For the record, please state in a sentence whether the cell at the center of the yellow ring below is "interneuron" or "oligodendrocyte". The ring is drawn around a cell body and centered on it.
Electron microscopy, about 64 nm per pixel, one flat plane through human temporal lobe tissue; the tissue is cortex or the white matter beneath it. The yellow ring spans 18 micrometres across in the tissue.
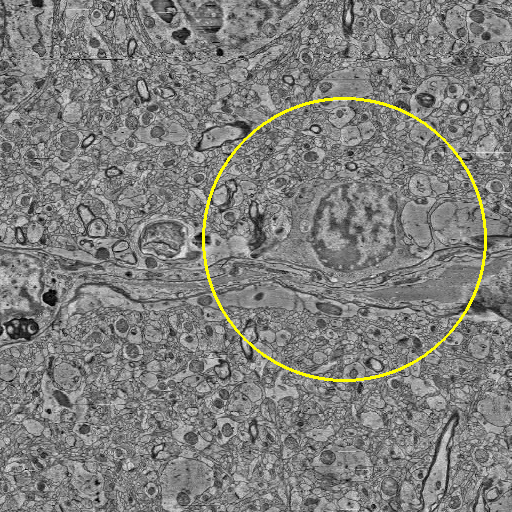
The cell at the ring's center is an oligodendrocyte.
